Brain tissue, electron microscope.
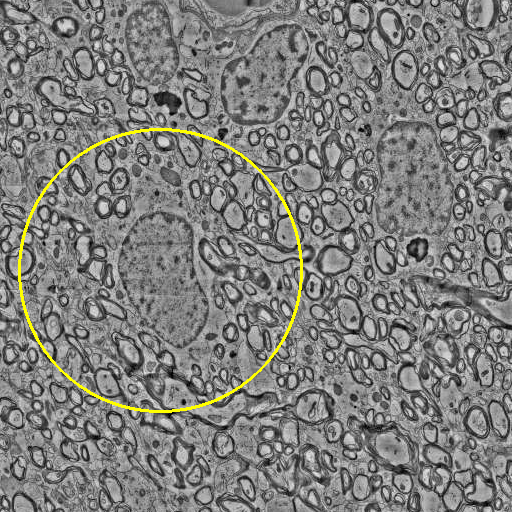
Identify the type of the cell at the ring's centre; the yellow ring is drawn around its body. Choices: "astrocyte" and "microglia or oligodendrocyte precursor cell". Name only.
astrocyte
